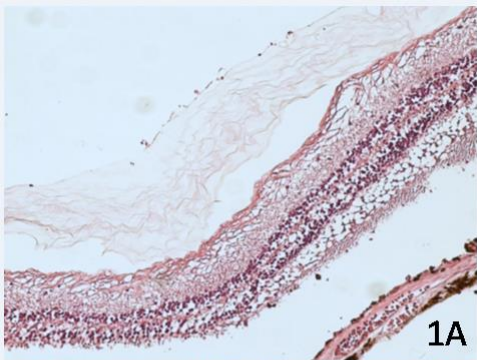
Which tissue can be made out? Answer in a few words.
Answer: Retina.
